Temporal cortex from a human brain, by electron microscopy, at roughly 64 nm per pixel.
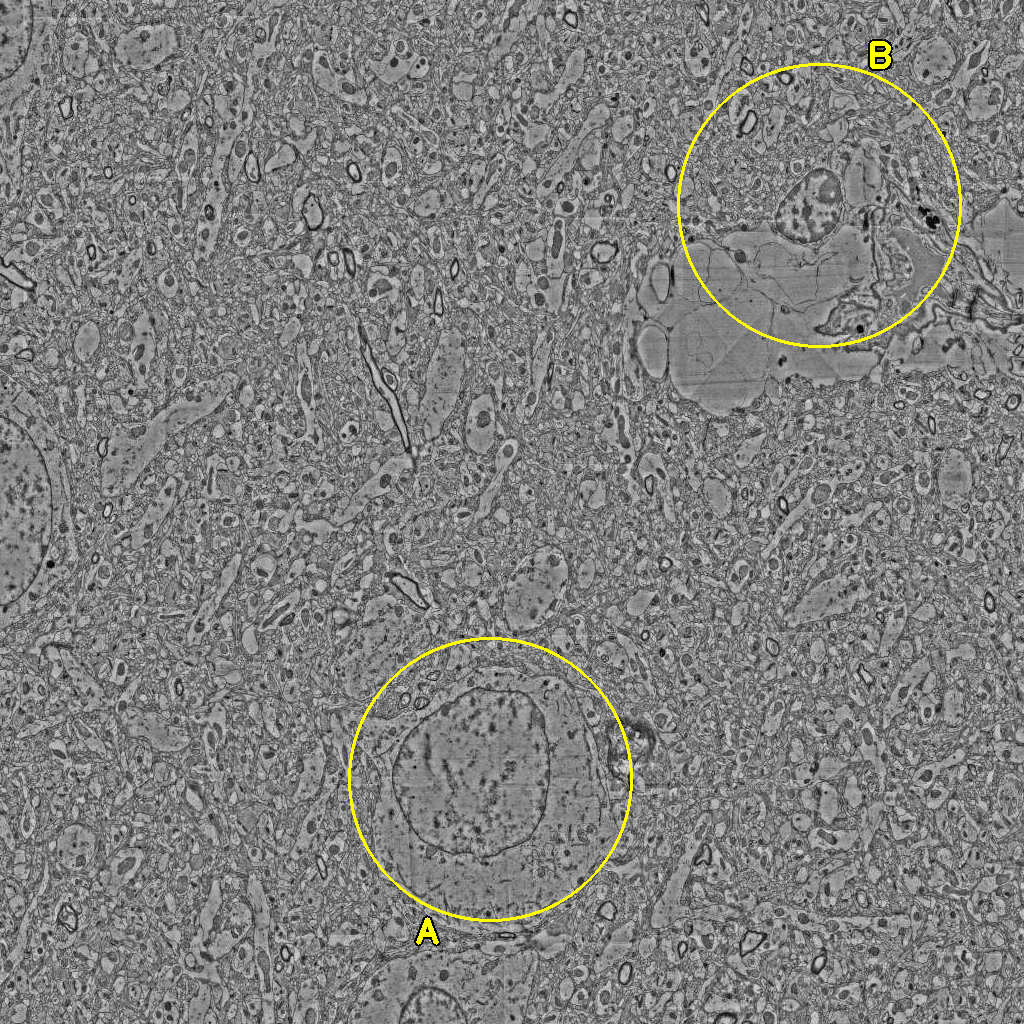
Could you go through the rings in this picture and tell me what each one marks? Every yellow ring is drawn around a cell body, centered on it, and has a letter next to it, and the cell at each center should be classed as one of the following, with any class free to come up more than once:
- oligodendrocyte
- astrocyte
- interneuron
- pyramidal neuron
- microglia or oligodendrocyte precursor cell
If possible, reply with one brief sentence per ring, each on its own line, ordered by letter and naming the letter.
The cell centered in ring A is a pyramidal neuron.
The cell centered in ring B is a microglial cell or oligodendrocyte precursor cell.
